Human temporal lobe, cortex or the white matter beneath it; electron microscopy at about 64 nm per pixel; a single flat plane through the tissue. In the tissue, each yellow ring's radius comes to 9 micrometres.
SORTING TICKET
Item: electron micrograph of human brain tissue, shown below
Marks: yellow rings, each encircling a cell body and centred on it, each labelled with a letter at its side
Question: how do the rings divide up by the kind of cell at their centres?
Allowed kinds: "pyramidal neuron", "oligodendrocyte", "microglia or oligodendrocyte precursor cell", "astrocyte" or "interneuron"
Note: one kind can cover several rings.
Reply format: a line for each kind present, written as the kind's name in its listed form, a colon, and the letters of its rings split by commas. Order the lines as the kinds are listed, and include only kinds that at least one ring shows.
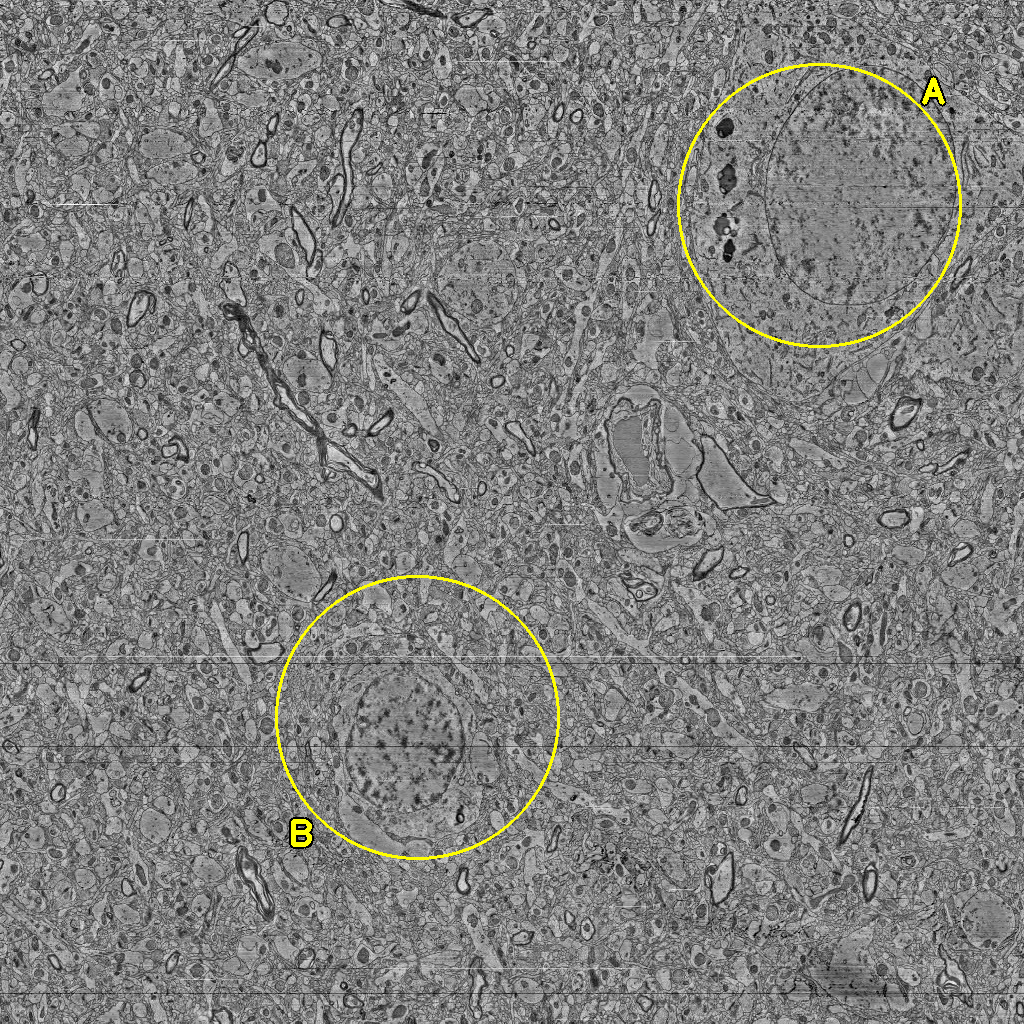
pyramidal neuron: A
interneuron: B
